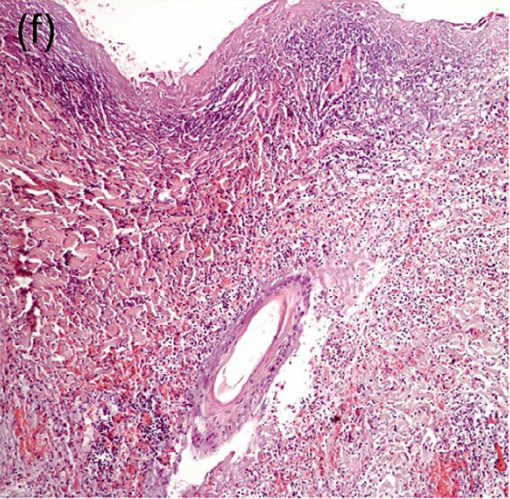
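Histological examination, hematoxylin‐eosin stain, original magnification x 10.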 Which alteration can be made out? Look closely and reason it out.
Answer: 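Dense and diffuse infiltrate of neutrophils. Numerous small dark purple nuclei are scattered densely throughout the pink connective tissue below the surface epithelium. The infiltrate is diffuse rather than confined to one focus.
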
